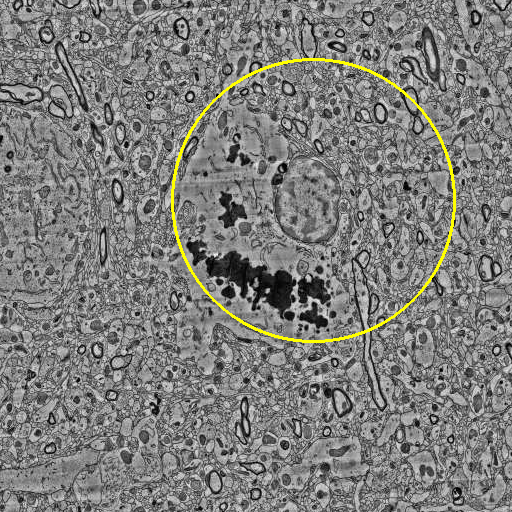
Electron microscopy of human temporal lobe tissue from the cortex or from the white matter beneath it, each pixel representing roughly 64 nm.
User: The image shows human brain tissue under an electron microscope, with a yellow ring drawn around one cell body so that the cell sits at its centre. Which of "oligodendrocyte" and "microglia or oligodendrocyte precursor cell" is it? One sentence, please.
At the centre of the ring sits a microglial cell or oligodendrocyte precursor cell.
